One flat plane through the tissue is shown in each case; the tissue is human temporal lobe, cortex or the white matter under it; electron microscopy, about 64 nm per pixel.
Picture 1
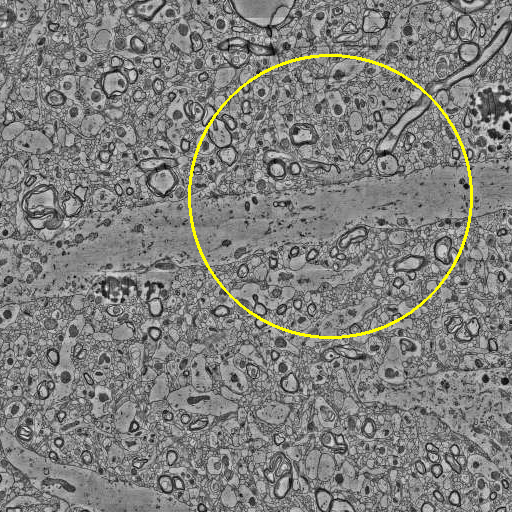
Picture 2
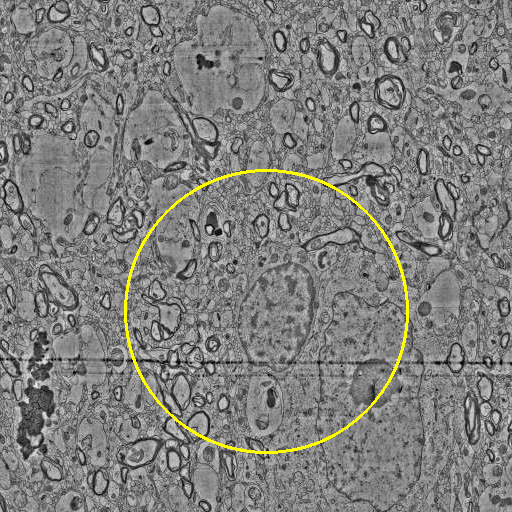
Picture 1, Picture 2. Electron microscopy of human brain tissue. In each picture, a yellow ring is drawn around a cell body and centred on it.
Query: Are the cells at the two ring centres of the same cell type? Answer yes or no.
yes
